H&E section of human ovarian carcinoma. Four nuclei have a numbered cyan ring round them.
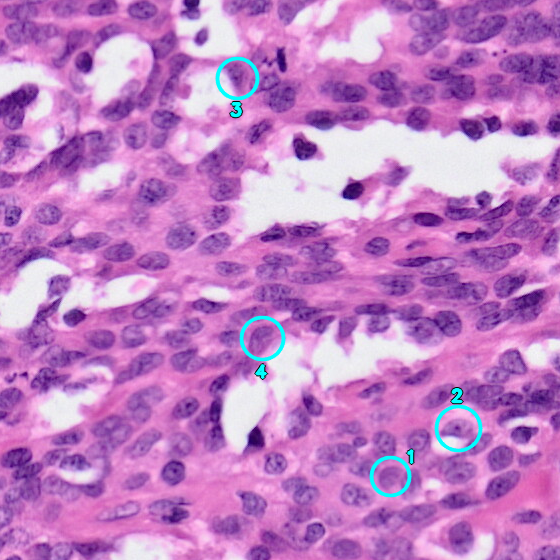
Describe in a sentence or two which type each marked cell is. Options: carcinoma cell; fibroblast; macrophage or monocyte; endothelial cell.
Cell 1 is a carcinoma cell, cell 2 is a macrophage or monocyte, cell 3 is a carcinoma cell and cell 4 is a carcinoma cell.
